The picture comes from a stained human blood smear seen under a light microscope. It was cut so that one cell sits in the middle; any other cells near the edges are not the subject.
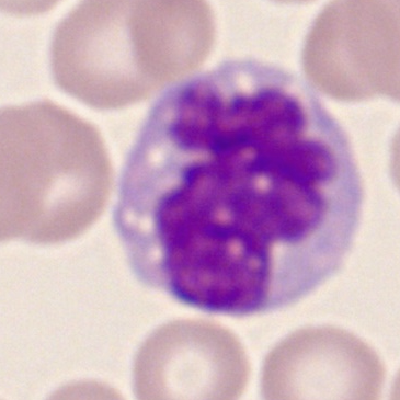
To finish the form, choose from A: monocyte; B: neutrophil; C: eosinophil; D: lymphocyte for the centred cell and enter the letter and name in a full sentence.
In this crop the middle cell is a monocyte, so option A is the correct answer.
